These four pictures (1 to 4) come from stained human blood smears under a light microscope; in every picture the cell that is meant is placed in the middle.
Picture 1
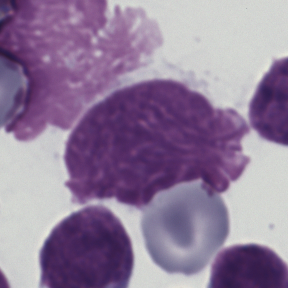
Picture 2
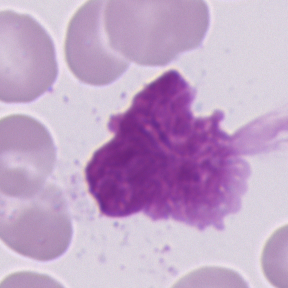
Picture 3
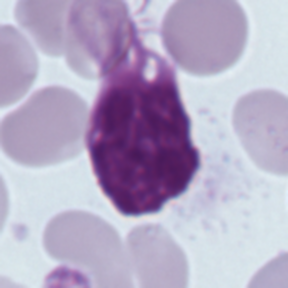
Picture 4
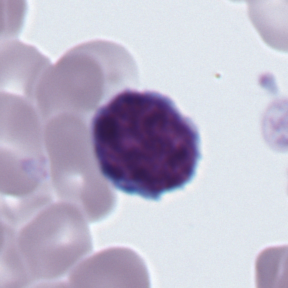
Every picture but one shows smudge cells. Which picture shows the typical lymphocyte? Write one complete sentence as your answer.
Picture 4 shows the typical lymphocyte.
